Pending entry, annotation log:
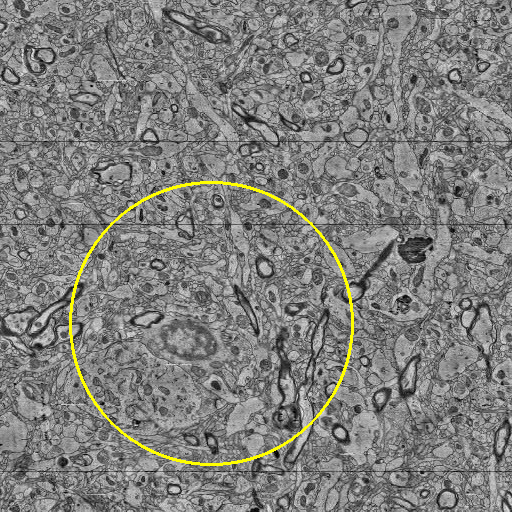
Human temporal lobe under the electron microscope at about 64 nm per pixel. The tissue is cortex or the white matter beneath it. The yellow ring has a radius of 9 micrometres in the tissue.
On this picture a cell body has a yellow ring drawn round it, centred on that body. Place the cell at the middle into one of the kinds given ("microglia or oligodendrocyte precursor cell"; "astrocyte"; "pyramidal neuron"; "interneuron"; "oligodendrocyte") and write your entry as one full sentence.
The cell body at the middle of the yellow ring belongs to an oligodendrocyte.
